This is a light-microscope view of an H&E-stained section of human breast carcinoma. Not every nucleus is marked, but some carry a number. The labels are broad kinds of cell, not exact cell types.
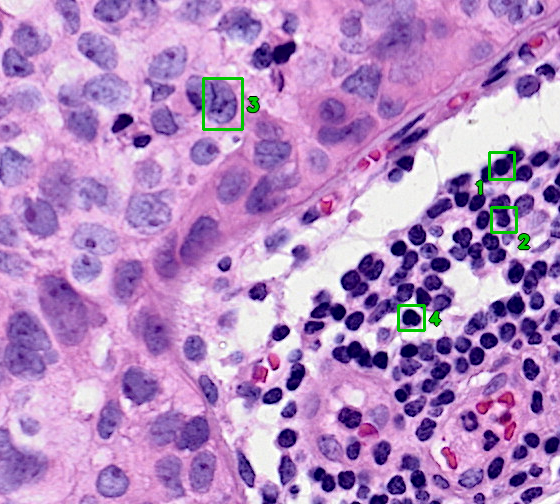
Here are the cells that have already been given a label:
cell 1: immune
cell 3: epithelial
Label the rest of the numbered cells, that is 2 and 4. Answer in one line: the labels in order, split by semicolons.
immune; immune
